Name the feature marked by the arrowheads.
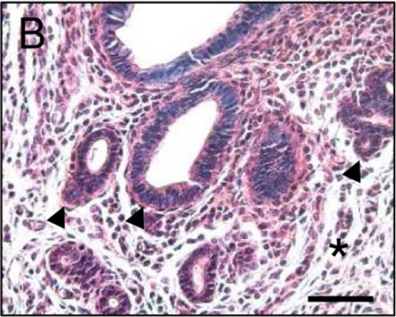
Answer: Endometrial glands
